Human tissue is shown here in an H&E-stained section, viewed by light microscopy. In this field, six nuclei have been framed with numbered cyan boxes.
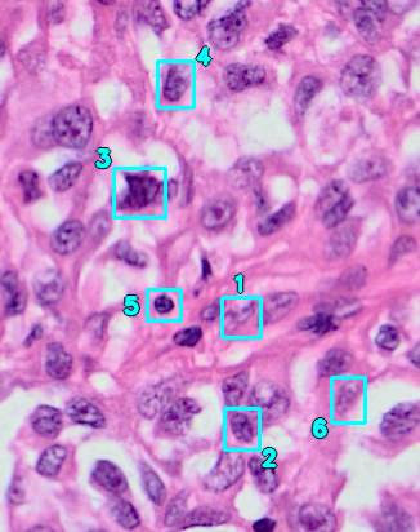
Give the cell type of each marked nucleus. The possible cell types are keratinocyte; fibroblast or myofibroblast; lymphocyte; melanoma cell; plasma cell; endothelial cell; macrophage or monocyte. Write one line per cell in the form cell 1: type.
cell 1: endothelial cell
cell 2: melanoma cell
cell 3: melanoma cell
cell 4: melanoma cell
cell 5: lymphocyte
cell 6: melanoma cell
